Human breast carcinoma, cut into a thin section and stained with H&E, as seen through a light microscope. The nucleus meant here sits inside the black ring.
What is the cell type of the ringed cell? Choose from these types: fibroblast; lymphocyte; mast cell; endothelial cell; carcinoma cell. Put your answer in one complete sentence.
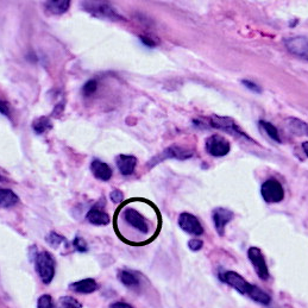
For cell typing purposes, the ringed cell is a lymphocyte.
